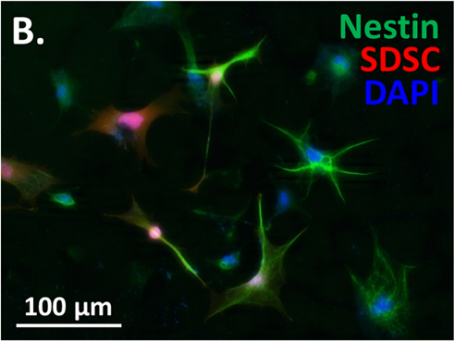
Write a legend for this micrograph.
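The green stain fills the cytoplasm as fine filaments running out into these processes. Each cell has a single oval nucleus stained blue, and in several cells the body also carries red, which appears pink where it overlaps the blue nucleus. Other cells are flatter and broader, with a more diffuse green cytoplasm and fewer processes.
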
